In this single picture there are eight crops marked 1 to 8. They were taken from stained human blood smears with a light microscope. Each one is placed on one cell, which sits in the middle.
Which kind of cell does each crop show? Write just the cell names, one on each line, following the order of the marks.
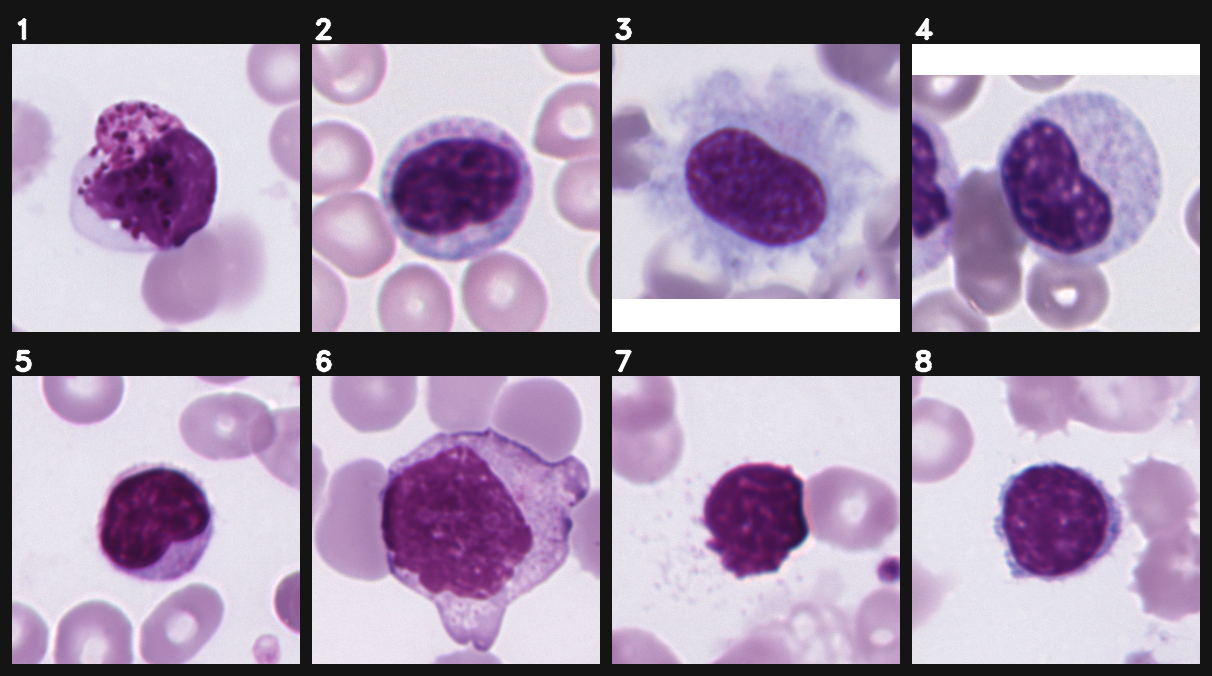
basophil
metamyelocyte
hairy cell
metamyelocyte
large granular lymphocyte
myelocyte
smudge cell
typical lymphocyte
